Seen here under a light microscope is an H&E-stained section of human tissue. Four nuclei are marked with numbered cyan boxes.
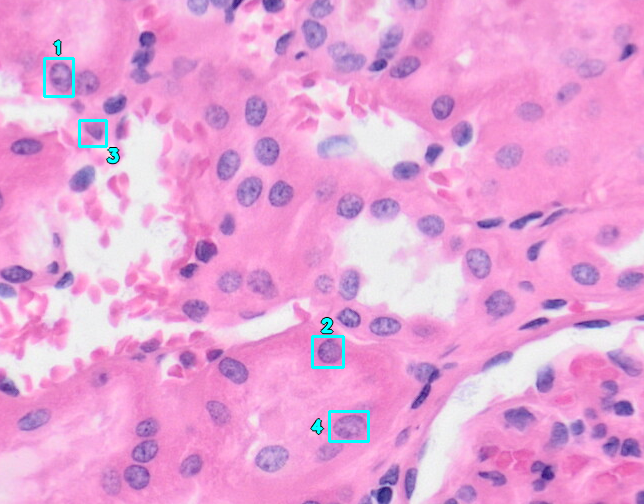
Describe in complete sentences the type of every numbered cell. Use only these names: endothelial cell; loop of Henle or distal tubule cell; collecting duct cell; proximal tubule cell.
Cells 1, 2 and 4 are proximal tubule cells. Cell 3 is an endothelial cell.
